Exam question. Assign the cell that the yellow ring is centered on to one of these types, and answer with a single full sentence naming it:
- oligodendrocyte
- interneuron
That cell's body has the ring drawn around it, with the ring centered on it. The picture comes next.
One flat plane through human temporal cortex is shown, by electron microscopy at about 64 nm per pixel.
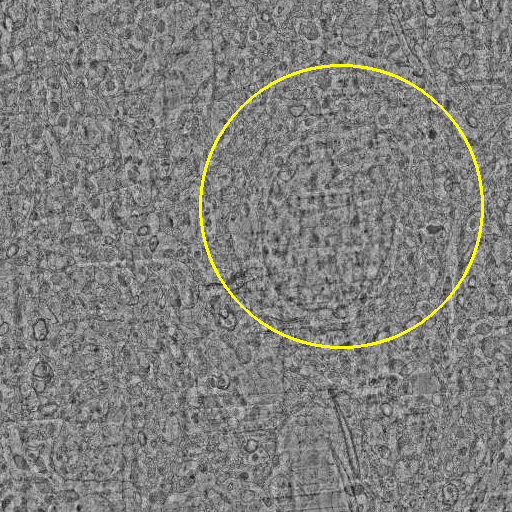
In the micrograph, the cell the yellow ring is centered on is an interneuron.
